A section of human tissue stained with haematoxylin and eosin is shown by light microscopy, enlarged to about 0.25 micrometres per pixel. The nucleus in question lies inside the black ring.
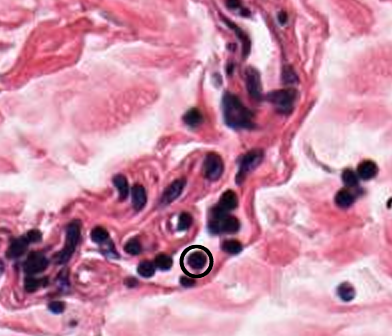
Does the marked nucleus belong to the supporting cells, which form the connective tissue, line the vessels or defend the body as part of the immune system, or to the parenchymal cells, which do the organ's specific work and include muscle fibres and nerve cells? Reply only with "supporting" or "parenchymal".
supporting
